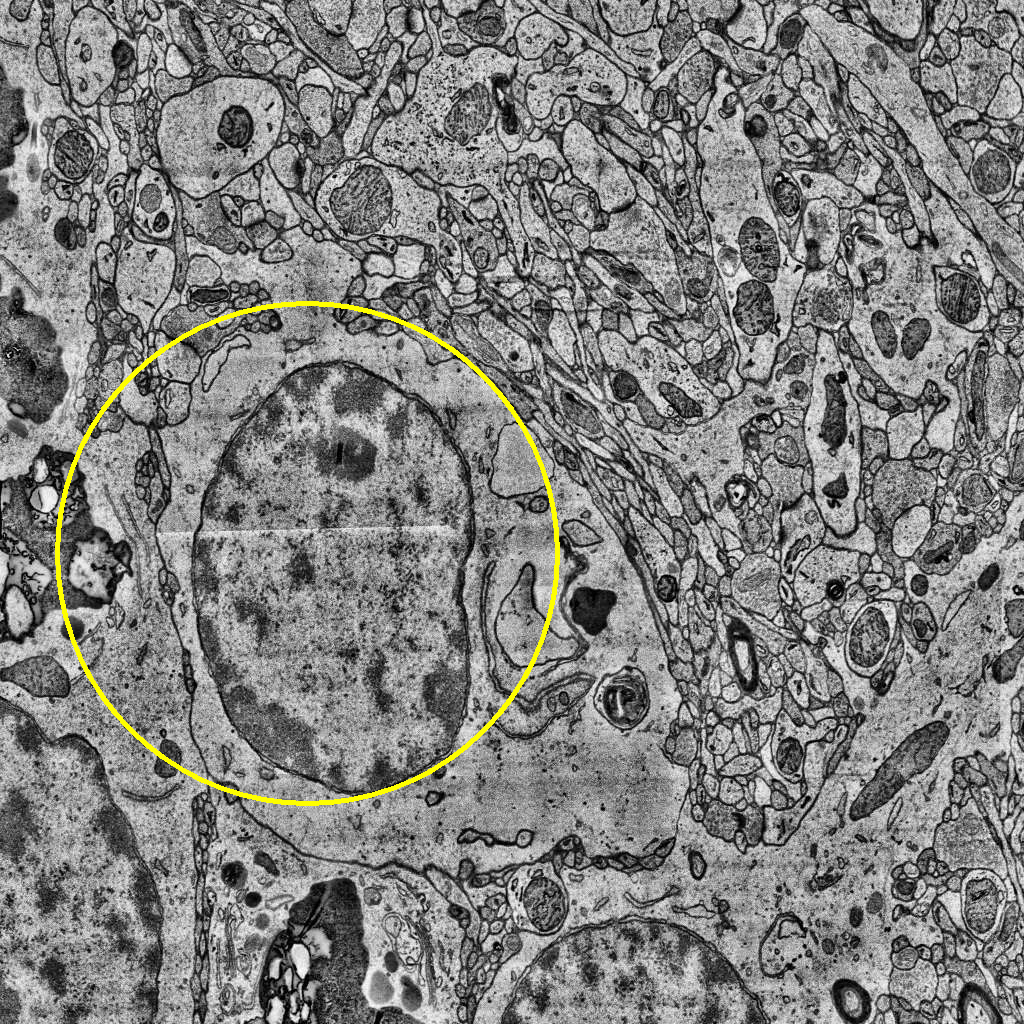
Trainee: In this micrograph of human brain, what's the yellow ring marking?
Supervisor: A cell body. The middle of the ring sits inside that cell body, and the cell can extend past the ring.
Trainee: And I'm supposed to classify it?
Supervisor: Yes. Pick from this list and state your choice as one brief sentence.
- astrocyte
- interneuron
The cell at the ring's center is an astrocyte.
